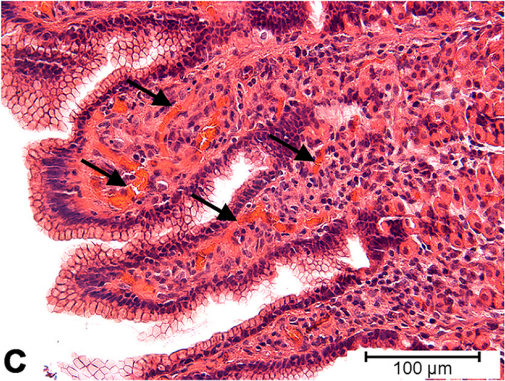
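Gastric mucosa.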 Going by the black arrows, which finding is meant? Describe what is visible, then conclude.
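The arrows point to vessels in the connective tissue under the surface epithelium. These vessels are widened and packed with red-orange red blood cells. On this evidence: hyperaemia.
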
